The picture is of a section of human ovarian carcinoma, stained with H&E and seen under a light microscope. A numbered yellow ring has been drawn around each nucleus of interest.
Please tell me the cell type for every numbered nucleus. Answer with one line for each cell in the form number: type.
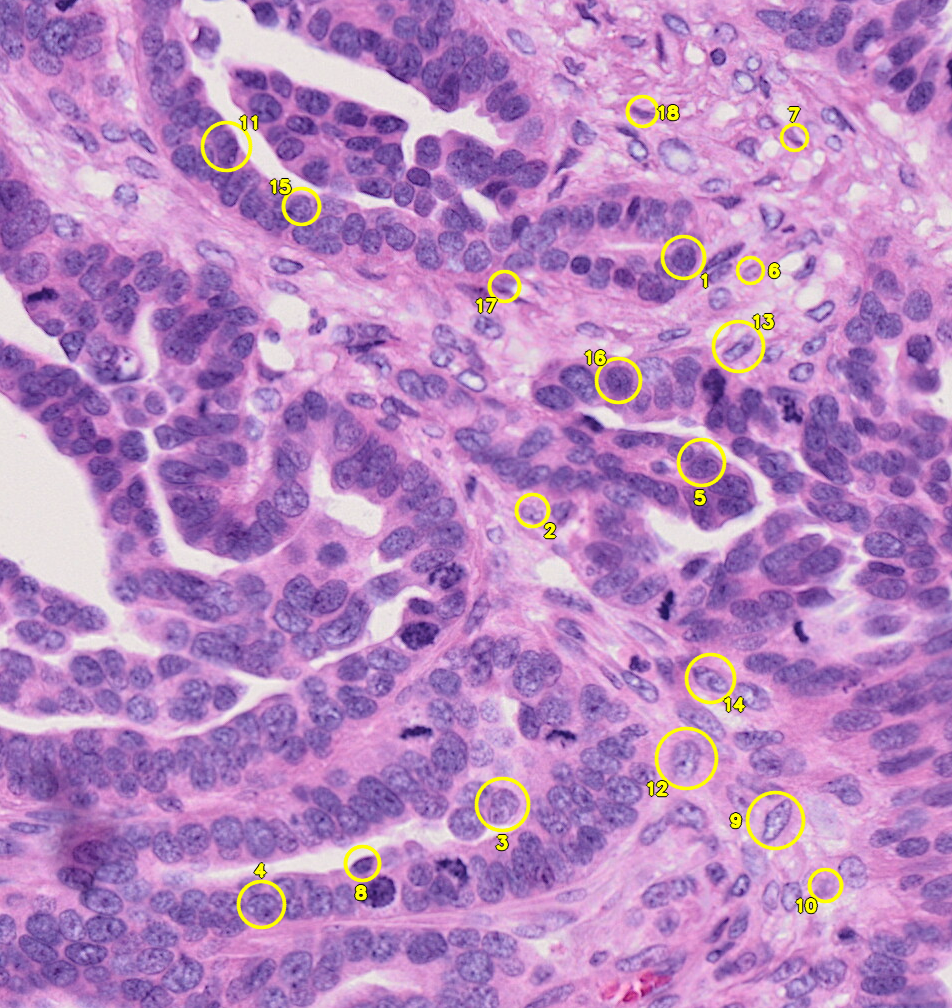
1: carcinoma cell
2: fibroblast
3: carcinoma cell
4: carcinoma cell
5: carcinoma cell
6: fibroblast
7: fibroblast
8: carcinoma cell
9: fibroblast
10: fibroblast
11: carcinoma cell
12: fibroblast
13: fibroblast
14: fibroblast
15: carcinoma cell
16: carcinoma cell
17: fibroblast
18: fibroblast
